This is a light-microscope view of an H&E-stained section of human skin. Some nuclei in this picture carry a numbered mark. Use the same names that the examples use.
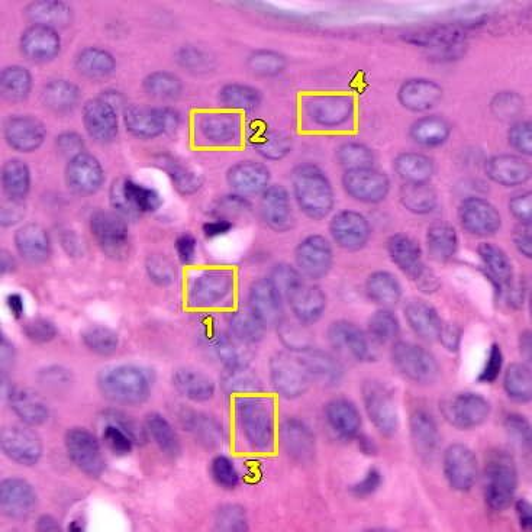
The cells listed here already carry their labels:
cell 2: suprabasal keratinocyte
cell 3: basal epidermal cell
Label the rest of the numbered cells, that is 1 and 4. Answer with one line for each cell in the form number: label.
1: basal epidermal cell
4: suprabasal keratinocyte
